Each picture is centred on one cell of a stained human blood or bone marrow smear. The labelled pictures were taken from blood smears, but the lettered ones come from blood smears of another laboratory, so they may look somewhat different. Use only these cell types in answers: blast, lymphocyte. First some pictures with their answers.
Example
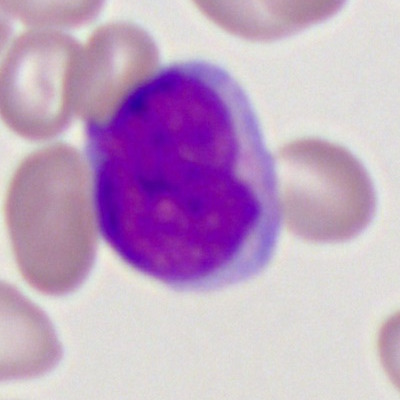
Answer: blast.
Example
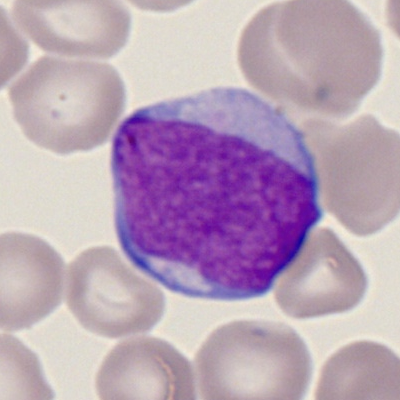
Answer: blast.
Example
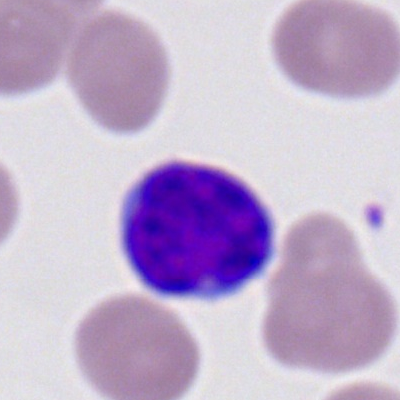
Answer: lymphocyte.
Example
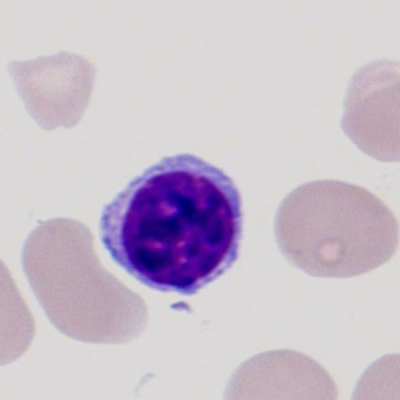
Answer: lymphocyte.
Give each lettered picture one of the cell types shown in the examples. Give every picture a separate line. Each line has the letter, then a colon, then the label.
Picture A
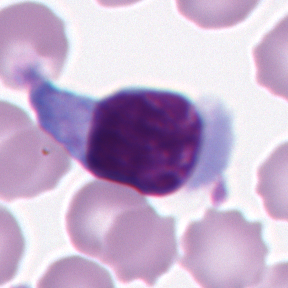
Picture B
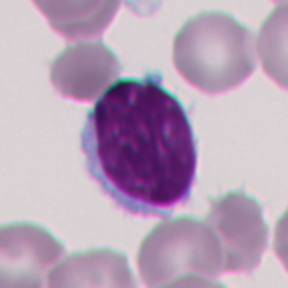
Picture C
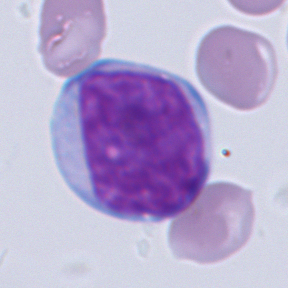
A: lymphocyte.
B: lymphocyte.
C: blast.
